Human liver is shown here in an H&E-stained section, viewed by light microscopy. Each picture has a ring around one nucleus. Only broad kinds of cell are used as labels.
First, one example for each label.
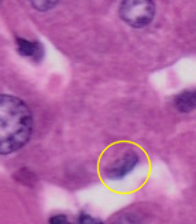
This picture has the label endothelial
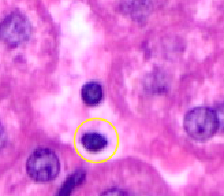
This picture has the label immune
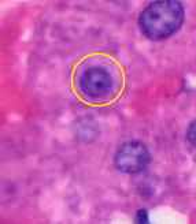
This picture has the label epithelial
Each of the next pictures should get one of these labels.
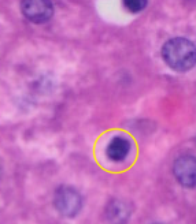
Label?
immune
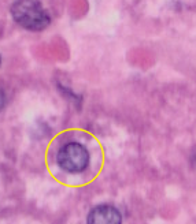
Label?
epithelial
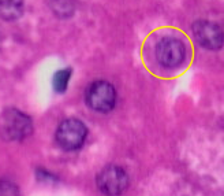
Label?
epithelial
